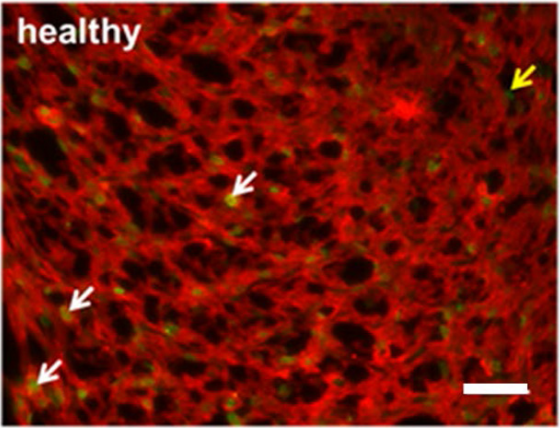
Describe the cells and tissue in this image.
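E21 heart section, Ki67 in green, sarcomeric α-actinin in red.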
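A dense, loose meshwork of red-stained muscle cells is interrupted by many dark, rounded gaps, giving a spongy look. Scattered small oval green nuclei are spread across the field. The muscle strands run in varied directions without a clear orderly alignment.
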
